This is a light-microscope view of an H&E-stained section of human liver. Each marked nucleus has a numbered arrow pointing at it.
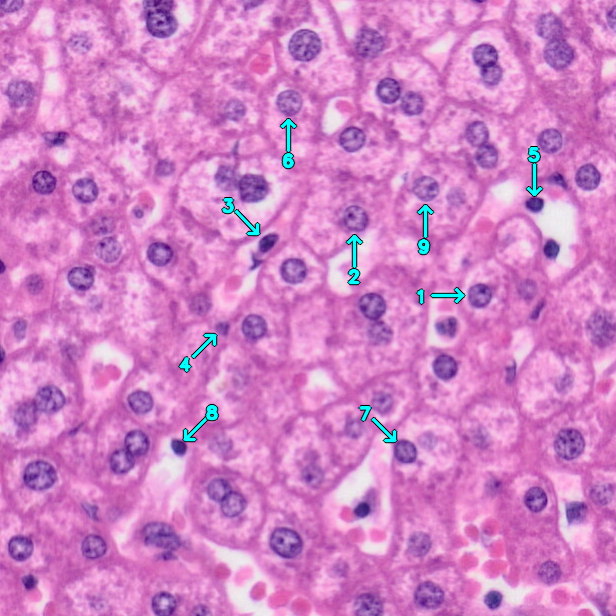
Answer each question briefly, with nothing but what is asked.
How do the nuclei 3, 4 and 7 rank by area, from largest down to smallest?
7, 3, 4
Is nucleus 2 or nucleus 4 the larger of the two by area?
2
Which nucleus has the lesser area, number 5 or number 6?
5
